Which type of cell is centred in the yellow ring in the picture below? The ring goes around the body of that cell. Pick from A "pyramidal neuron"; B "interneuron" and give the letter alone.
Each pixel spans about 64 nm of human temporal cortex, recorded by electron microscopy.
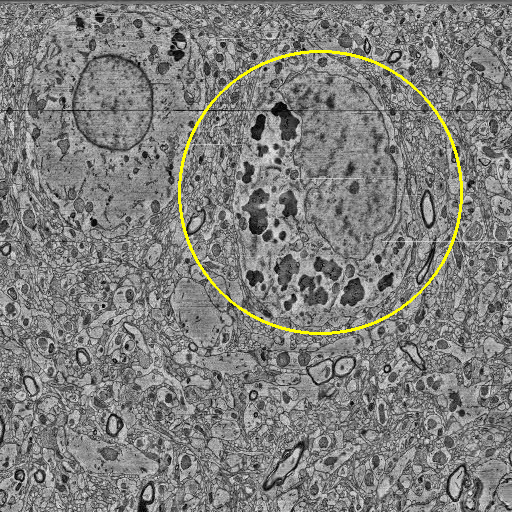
B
